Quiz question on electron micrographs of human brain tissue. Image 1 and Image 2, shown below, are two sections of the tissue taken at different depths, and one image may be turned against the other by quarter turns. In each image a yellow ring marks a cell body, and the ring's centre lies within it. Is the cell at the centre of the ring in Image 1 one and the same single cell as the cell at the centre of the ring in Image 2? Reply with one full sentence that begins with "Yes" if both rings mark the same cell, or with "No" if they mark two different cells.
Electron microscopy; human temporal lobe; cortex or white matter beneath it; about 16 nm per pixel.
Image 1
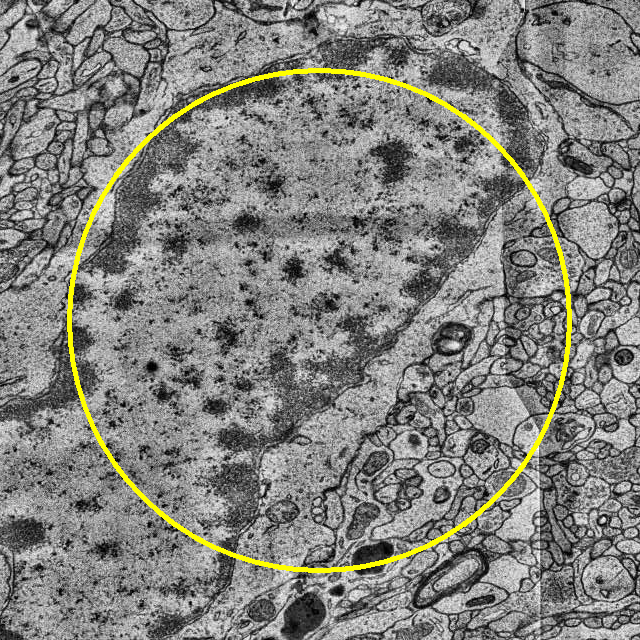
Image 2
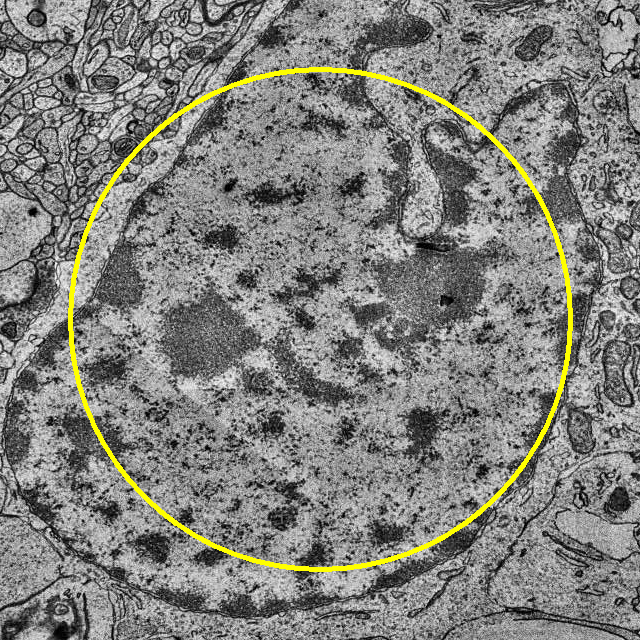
Yes, one cell appears twice, once in each ring.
